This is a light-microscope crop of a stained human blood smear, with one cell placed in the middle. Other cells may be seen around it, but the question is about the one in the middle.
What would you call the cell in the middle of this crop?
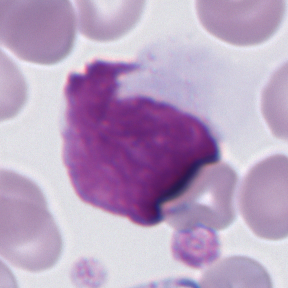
smudge cell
